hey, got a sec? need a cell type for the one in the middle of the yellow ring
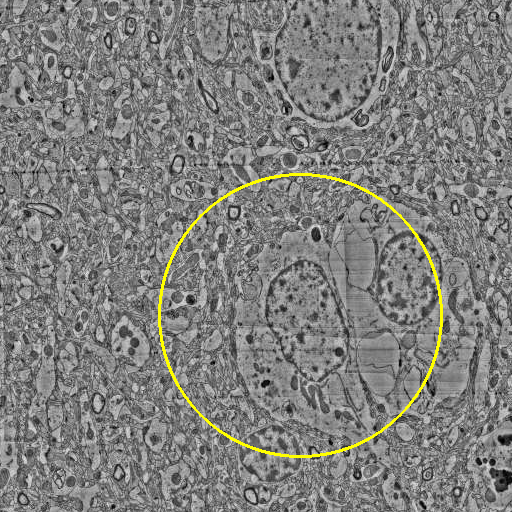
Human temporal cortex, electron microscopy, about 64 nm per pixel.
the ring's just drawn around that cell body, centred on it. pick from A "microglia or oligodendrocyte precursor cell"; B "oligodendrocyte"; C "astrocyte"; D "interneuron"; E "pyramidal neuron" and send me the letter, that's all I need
C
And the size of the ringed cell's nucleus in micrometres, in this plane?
The ringed cell's nucleus is roughly 8 by 5 micrometres and clearly longer than it is wide in this plane.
